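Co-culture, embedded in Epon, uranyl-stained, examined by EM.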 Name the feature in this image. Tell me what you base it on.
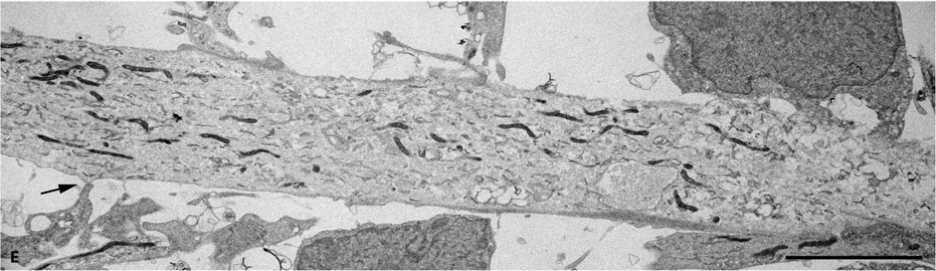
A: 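Axons. A long, broad band crosses the panel diagonally. It contains many elongated, dark mitochondria aligned along its length. Cell profiles lie beside it above and below.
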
